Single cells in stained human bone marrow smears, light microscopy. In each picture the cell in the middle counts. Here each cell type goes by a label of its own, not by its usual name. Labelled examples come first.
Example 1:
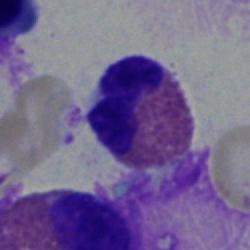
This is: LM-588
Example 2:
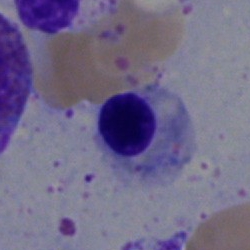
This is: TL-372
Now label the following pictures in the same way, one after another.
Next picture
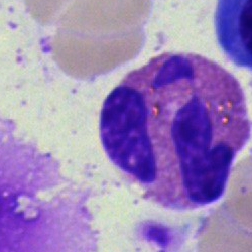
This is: LM-588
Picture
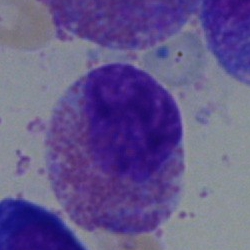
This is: LM-588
